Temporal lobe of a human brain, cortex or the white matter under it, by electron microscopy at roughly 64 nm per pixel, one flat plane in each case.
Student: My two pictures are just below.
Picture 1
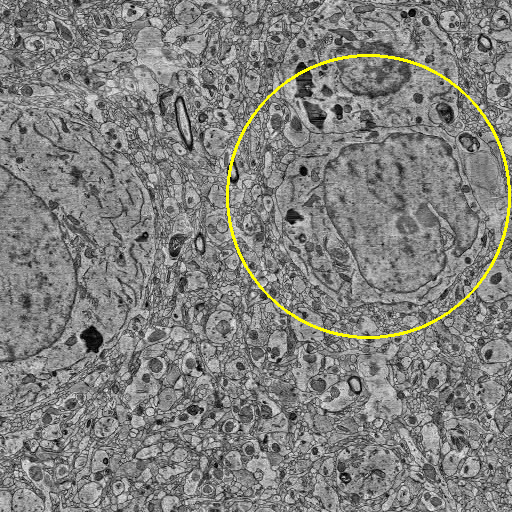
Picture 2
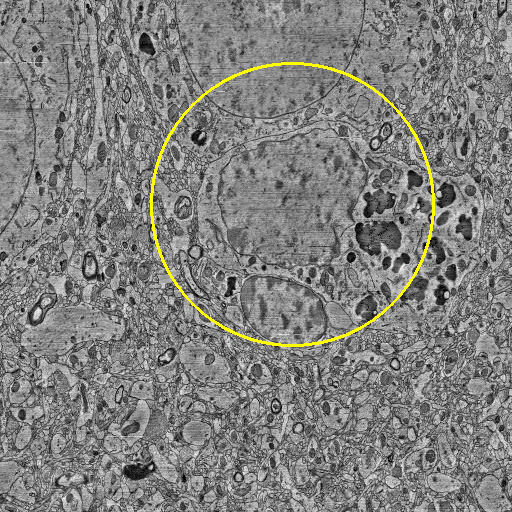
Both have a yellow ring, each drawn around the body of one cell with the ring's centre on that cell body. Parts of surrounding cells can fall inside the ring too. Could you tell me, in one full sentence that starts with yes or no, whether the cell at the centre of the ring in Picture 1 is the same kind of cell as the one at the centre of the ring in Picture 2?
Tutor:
Yes, the two cells are of the same kind.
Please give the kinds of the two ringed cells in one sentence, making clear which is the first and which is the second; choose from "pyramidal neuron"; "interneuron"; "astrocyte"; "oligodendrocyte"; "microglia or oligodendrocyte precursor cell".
The second cell is an interneuron, just as the first is.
